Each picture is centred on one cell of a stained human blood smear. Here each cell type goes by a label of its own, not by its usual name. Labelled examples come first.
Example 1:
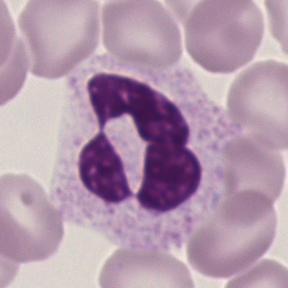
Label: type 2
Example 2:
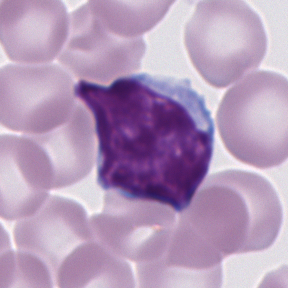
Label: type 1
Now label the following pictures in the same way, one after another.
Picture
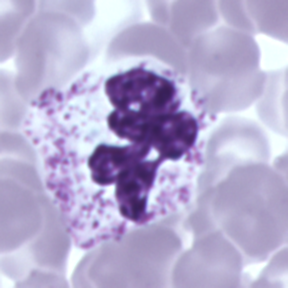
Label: type 2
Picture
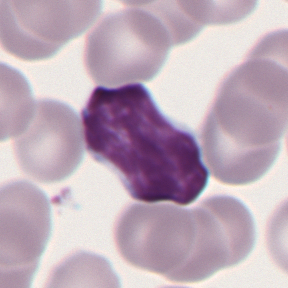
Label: type 1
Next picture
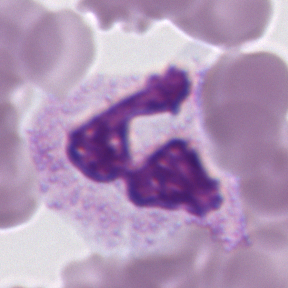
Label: type 2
